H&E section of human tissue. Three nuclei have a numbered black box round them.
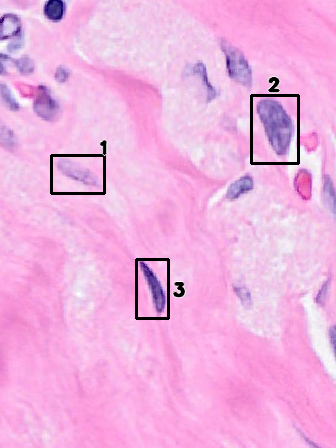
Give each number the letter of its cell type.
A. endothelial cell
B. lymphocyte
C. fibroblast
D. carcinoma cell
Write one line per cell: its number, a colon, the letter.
1: C
2: A
3: C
